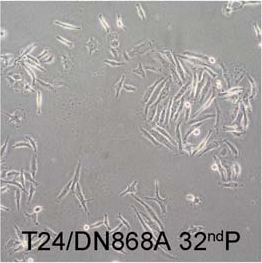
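These cultured cells have a spindle-like, mesenchymal form, most being long and narrow and tapering to points at both ends. Many lie parallel to one another, forming swirling streams and bundles, while others spread singly with thin extended processes. Few broad many-sided cells remain, and a few bright rounded cells are scattered about.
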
